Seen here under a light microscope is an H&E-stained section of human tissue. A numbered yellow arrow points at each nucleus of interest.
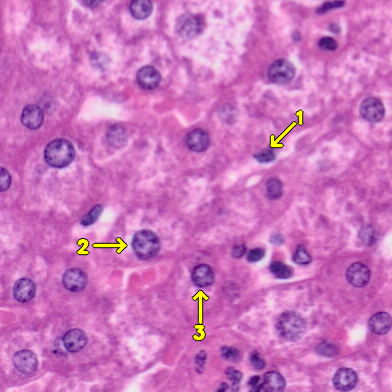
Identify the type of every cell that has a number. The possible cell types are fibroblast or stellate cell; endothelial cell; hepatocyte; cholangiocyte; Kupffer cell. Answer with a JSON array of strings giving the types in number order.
["endothelial cell", "hepatocyte", "hepatocyte"]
